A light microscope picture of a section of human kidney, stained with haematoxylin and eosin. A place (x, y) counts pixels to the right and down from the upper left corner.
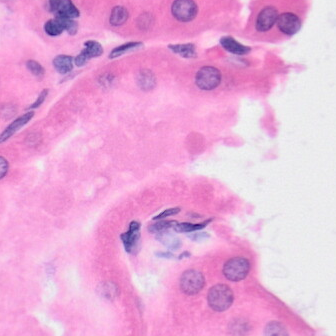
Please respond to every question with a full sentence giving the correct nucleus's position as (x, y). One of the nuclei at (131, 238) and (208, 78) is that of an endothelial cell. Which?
Among the two nuclei, the one found at (131, 238) belongs to an endothelial cell.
